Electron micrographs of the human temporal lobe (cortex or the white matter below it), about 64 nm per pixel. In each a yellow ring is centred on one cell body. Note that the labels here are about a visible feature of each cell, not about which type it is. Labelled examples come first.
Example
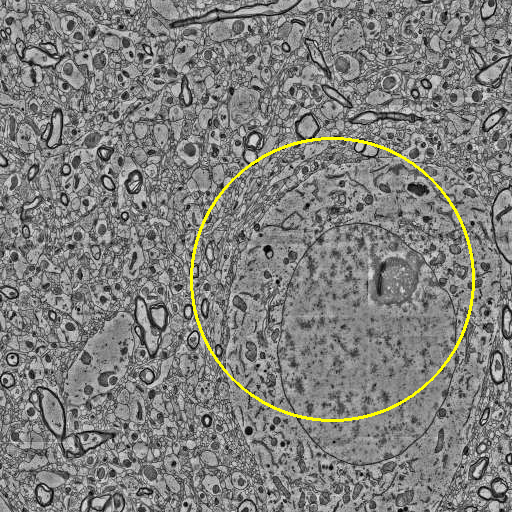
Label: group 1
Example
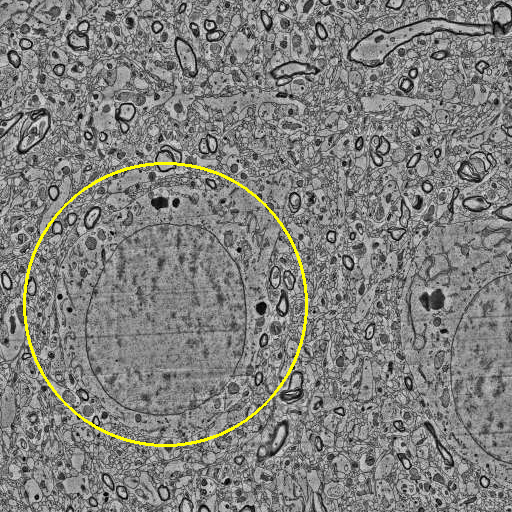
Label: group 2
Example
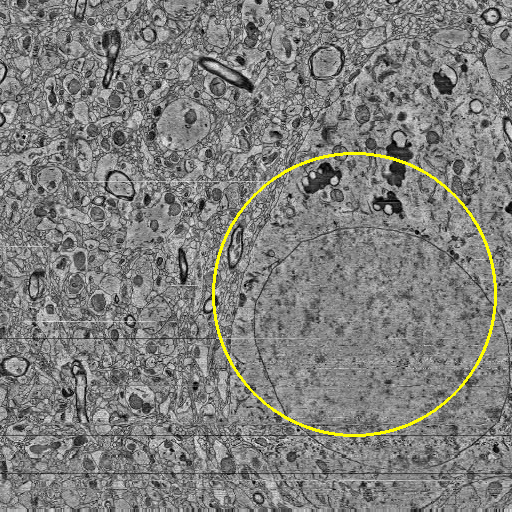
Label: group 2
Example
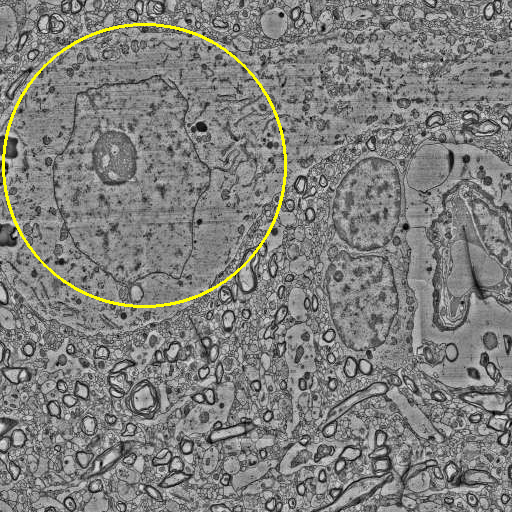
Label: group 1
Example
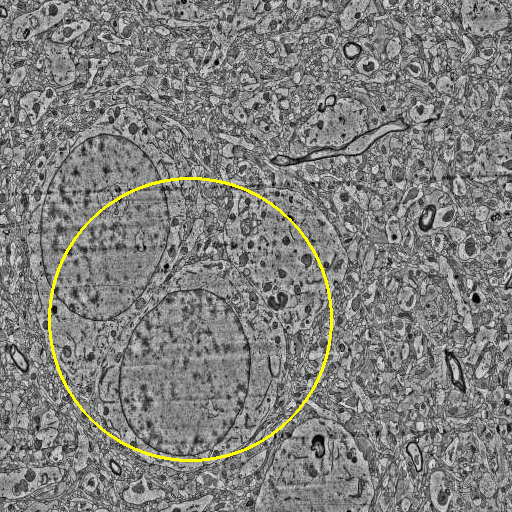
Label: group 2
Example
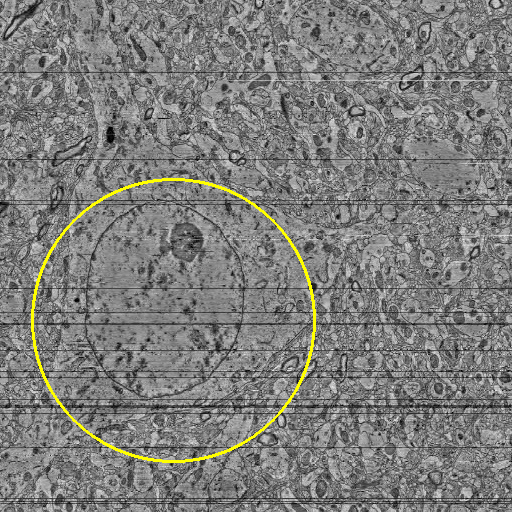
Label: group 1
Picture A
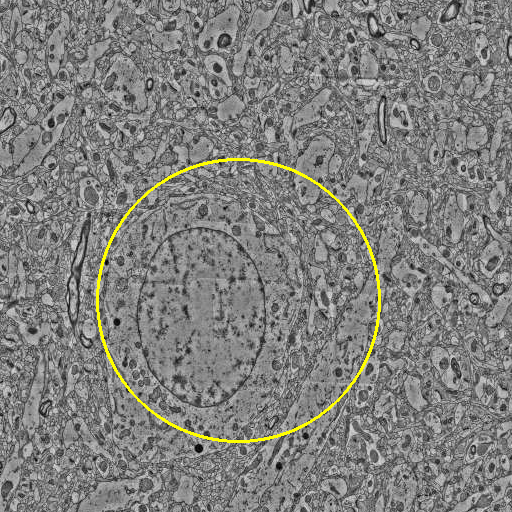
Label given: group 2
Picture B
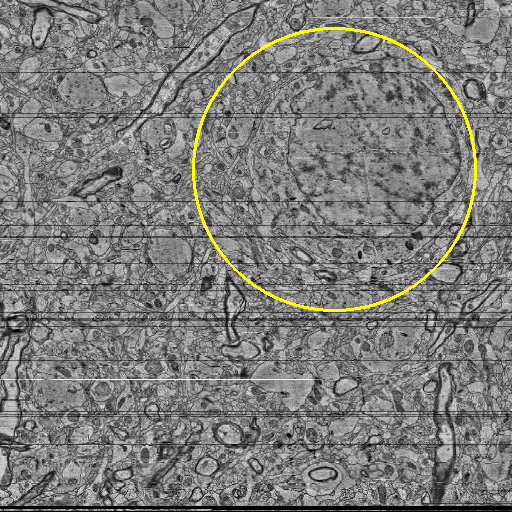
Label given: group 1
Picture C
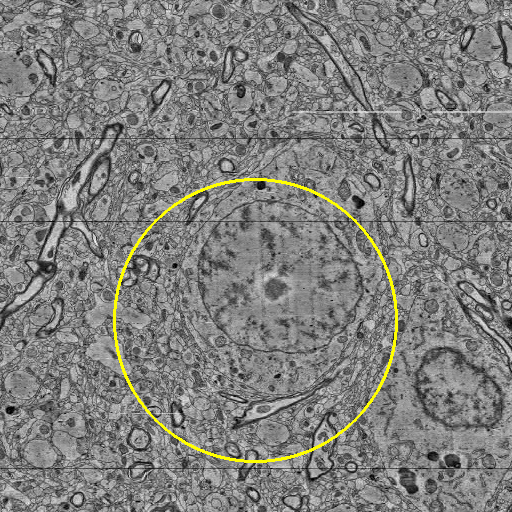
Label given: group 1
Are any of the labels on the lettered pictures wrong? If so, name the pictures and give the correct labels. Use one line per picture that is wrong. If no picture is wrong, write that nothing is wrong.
Wrong: B (group 1); correct: group 2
